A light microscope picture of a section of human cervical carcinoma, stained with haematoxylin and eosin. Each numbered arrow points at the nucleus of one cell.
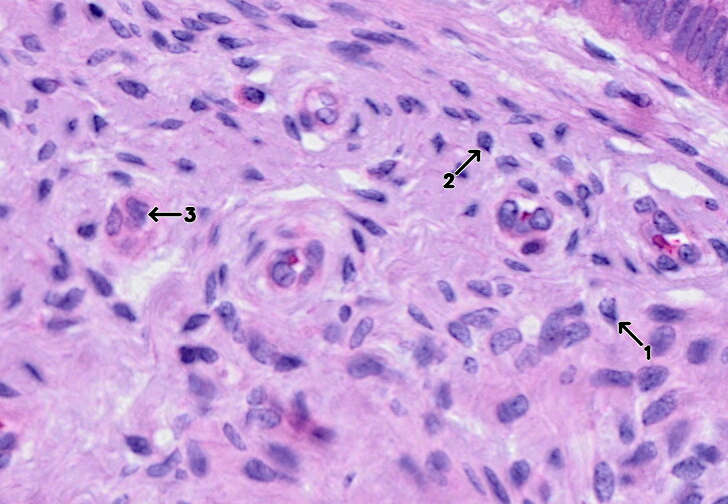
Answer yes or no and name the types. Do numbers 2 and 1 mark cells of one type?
Yes, both are fibroblasts.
